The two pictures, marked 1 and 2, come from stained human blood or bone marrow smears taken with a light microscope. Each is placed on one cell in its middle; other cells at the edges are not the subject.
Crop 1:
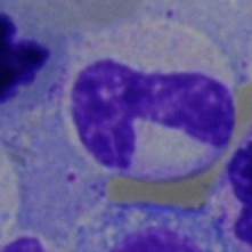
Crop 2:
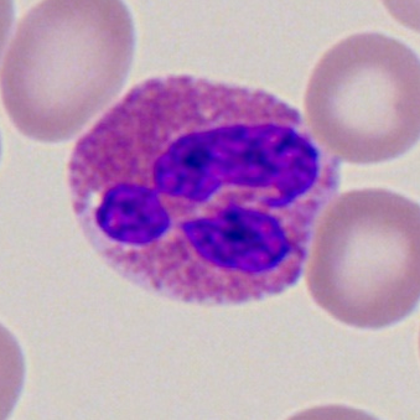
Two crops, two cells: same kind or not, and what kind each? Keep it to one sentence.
No, crop 1 presents a band neutrophil, whereas crop 2 presents an eosinophil.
